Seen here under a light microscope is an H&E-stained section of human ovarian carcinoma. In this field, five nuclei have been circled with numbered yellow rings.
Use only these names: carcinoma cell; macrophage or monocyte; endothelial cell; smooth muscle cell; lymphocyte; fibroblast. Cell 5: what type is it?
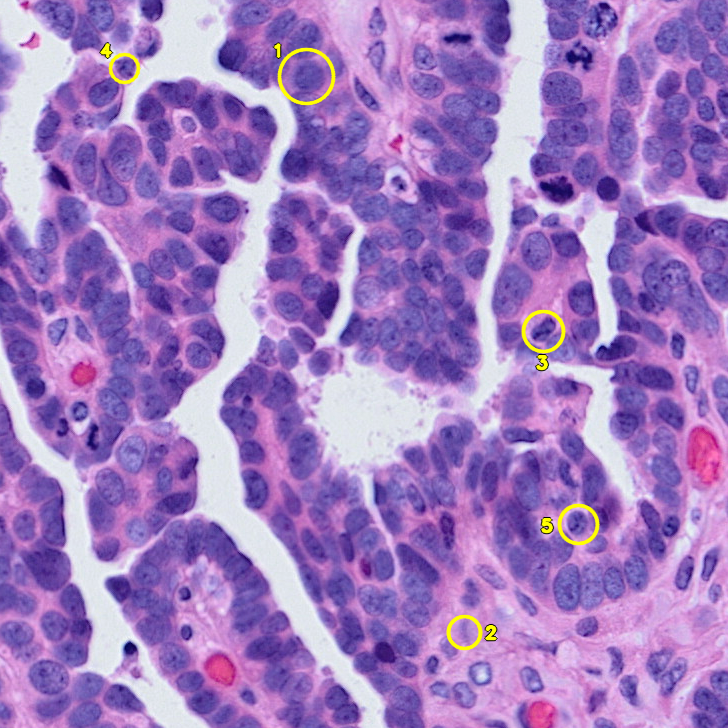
macrophage or monocyte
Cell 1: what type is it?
carcinoma cell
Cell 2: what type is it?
fibroblast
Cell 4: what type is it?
macrophage or monocyte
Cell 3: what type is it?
macrophage or monocyte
